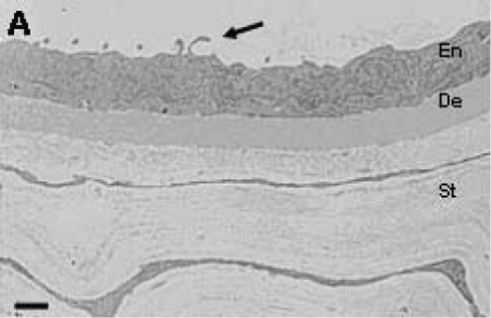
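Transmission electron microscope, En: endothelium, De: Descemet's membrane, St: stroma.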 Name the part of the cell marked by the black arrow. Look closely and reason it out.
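Small finger-like and looped projections rise from the free surface of the top cell layer. The projections extend into the pale space above the layer.
Hence: microvilli.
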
